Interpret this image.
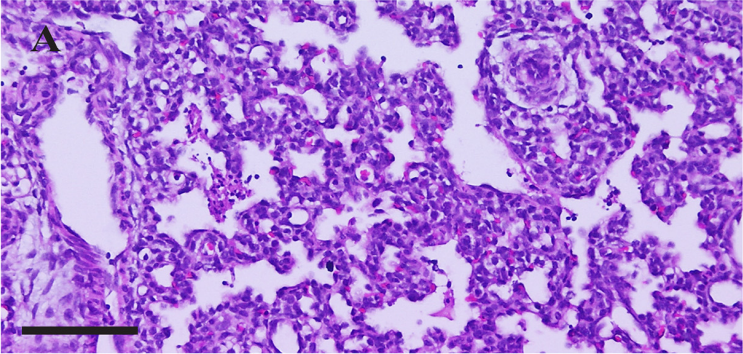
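This lung section shows parenchyma in which the alveolar air spaces are small, irregular and in places collapsed. The alveolar septa are markedly thickened and packed with many small, round, dark purple nuclei, giving the tissue a dense, highly cellular appearance. Scattered pink-red erythrocytes lie within the septa. At the left an open, clear space bordered by a thin wall with elongated nuclei is seen, and at the upper right a small round vessel with a concentric wall sits within the crowded parenchyma.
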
